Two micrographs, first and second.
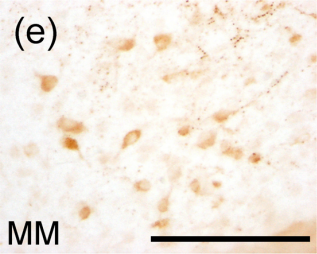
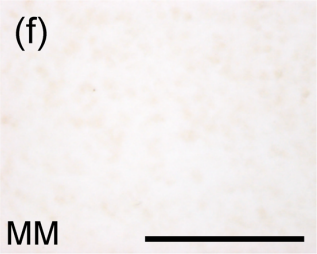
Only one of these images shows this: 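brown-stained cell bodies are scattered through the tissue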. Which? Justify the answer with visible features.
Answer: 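Second image: the tissue is evenly pale with no stained cell bodies. First image: many distinct brown rounded and oval cell bodies are scattered across the field. On this evidence: the first image.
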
